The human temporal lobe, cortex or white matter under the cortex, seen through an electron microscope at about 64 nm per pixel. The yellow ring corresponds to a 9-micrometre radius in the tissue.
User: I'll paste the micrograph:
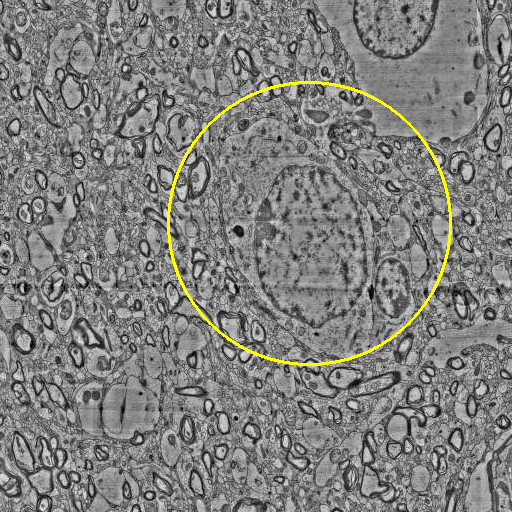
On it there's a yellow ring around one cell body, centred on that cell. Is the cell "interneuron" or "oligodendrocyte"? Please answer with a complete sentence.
The cell ringed in yellow is an interneuron.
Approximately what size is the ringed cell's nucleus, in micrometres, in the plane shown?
Roughly 10 micrometres by 7 micrometres, in this plane.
